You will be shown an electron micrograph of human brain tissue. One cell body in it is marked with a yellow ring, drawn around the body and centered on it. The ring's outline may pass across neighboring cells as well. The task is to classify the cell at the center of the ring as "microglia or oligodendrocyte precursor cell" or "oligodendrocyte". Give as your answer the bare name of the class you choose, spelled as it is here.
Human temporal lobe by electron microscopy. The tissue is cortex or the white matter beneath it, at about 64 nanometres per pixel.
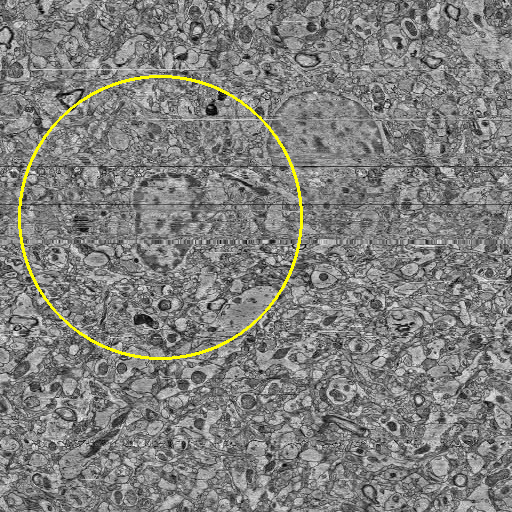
microglia or oligodendrocyte precursor cell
